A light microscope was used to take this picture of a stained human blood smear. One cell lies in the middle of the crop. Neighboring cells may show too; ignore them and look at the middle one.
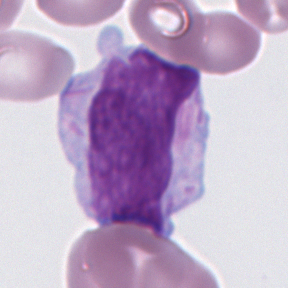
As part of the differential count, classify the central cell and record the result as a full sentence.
In this crop, the cell at the very middle is an atypical promyelocyte.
